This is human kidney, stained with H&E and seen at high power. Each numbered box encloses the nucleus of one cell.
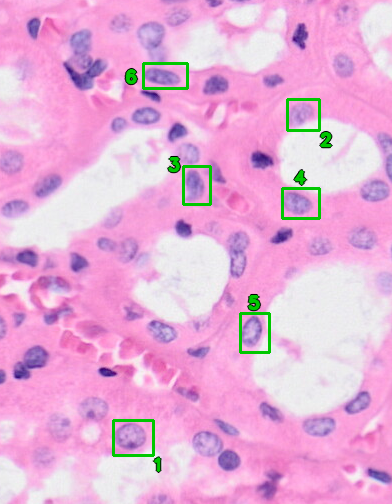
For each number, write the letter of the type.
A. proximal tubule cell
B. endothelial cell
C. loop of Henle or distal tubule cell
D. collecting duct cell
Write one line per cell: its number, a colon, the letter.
1: A
2: C
3: D
4: C
5: C
6: D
